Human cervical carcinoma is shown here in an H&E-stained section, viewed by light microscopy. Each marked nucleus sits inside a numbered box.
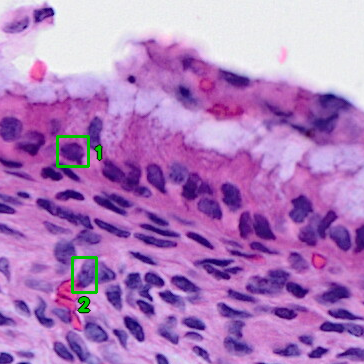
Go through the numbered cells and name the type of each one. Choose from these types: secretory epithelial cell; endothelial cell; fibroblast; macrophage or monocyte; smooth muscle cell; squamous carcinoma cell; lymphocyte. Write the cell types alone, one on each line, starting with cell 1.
secretory epithelial cell
endothelial cell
